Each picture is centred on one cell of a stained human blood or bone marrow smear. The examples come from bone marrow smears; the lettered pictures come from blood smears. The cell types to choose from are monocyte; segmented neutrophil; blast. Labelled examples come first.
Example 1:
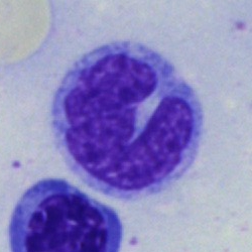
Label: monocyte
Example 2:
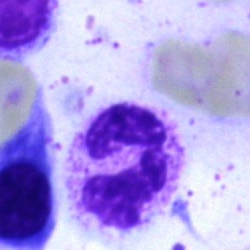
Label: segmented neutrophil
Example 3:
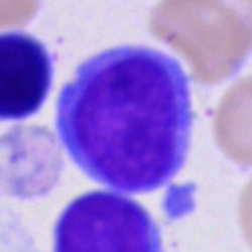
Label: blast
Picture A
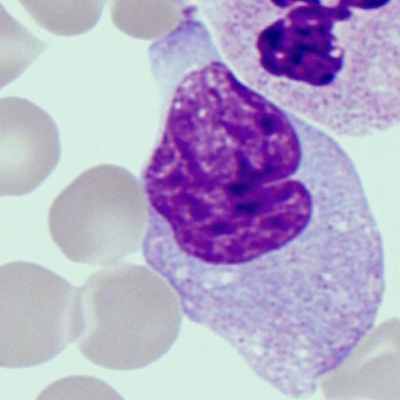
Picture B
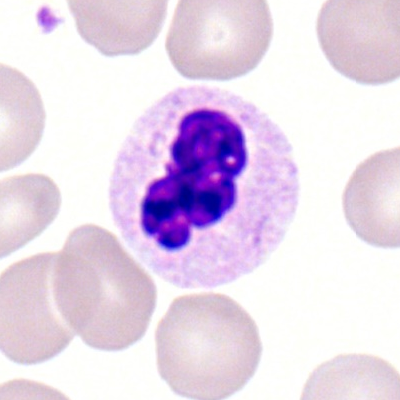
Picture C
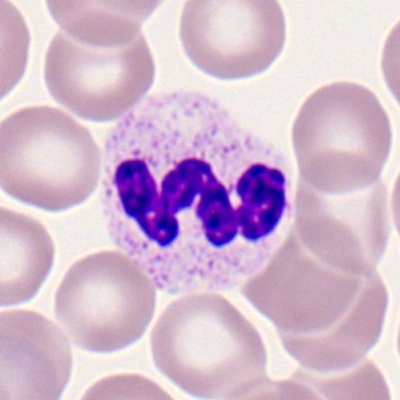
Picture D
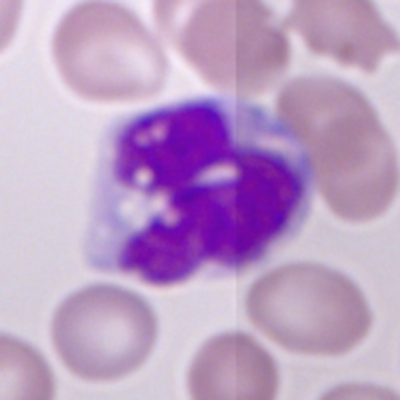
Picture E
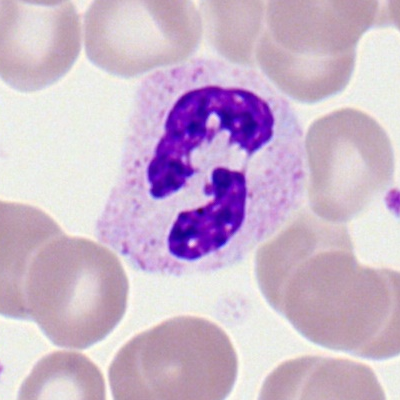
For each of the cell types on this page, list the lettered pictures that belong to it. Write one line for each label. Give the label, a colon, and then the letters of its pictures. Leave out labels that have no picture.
monocyte: A, D
segmented neutrophil: B, C, E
